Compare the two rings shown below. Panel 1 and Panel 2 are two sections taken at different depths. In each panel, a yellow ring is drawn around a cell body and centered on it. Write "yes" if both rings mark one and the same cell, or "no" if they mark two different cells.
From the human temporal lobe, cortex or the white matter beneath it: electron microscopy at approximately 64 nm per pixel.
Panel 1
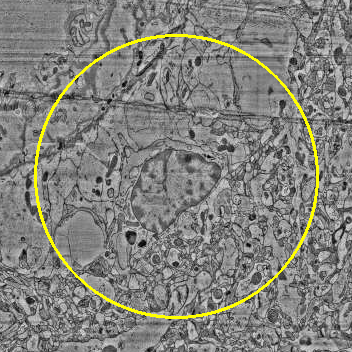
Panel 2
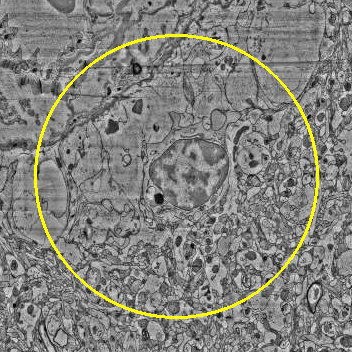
yes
